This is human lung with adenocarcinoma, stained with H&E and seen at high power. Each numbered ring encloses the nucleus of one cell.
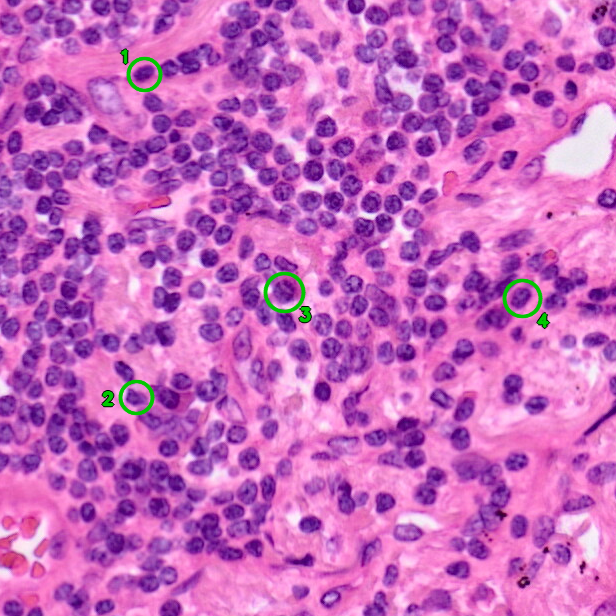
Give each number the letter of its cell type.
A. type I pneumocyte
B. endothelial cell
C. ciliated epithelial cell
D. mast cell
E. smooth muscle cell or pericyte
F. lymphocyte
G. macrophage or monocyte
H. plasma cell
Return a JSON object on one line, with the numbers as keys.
{"1": "F", "2": "F", "3": "H", "4": "F"}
